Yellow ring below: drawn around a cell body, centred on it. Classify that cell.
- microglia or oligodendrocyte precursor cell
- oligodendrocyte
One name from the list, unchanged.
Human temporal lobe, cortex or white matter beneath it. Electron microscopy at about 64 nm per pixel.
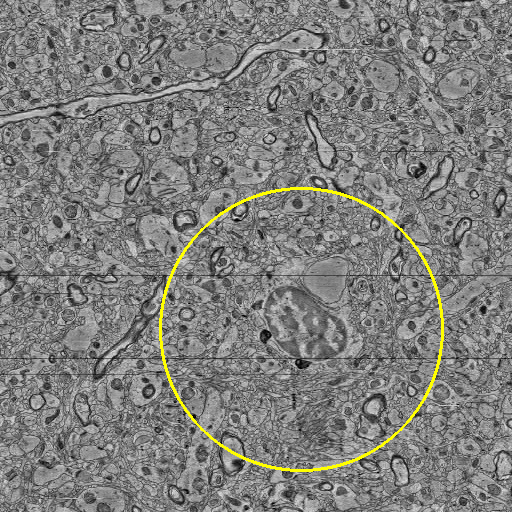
microglia or oligodendrocyte precursor cell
